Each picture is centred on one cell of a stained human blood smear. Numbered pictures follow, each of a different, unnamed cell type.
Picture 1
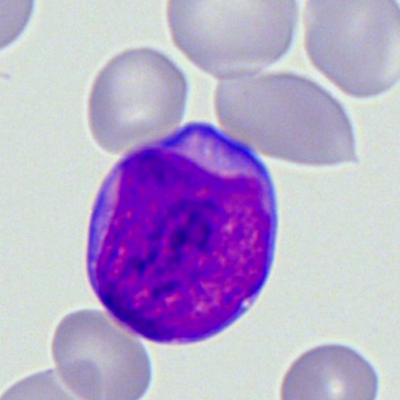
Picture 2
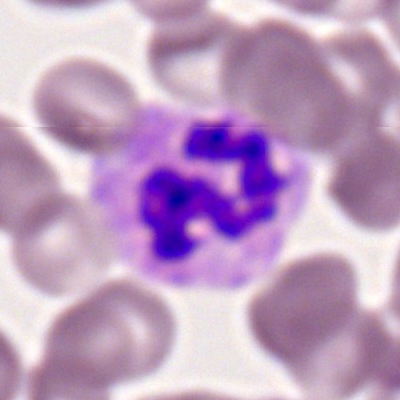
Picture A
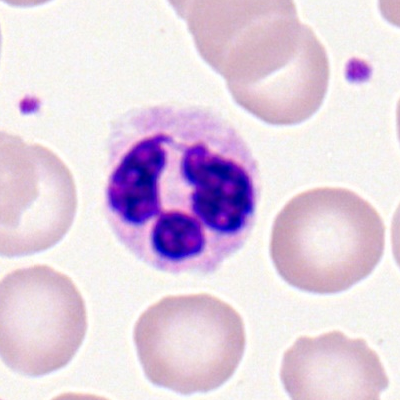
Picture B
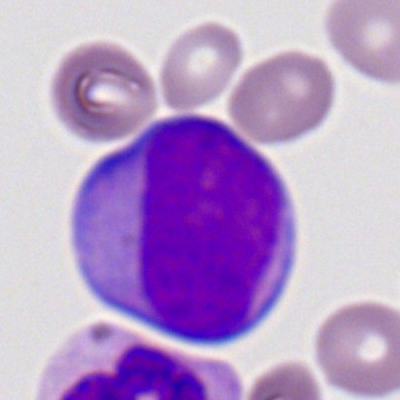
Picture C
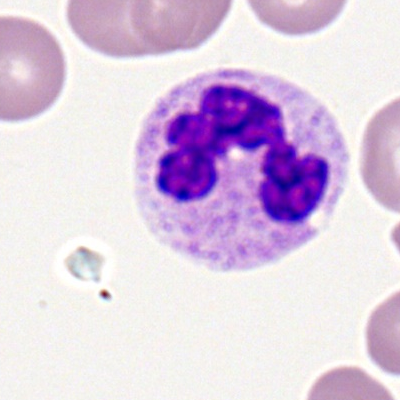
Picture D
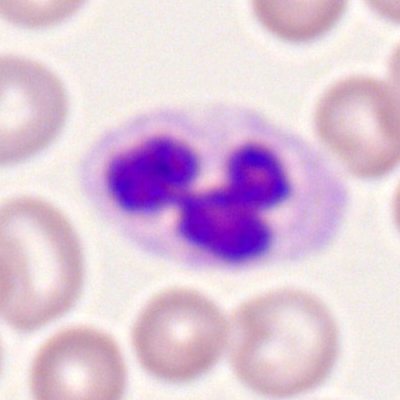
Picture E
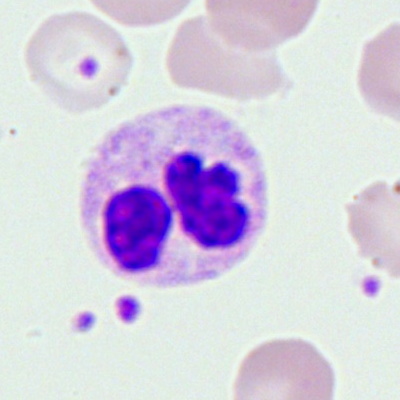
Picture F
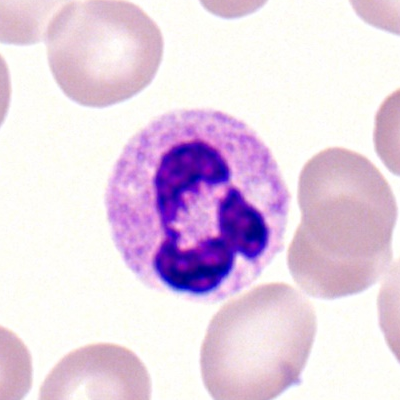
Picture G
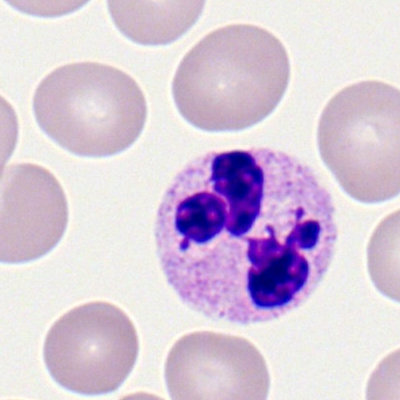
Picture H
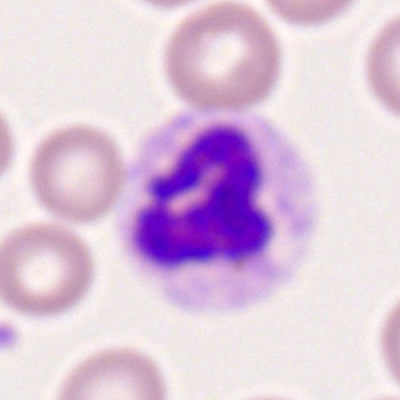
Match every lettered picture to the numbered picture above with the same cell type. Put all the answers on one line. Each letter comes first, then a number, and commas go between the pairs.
A 2, B 1, C 2, D 2, E 2, F 2, G 2, H 2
